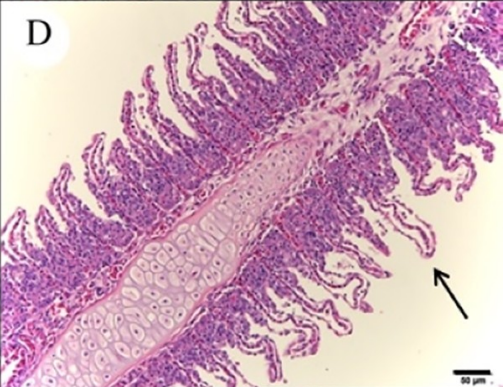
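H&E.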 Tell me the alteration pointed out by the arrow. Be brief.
Edema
